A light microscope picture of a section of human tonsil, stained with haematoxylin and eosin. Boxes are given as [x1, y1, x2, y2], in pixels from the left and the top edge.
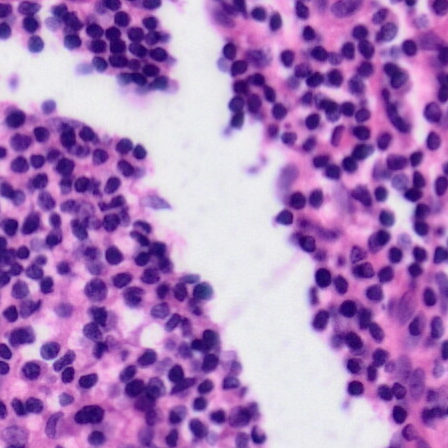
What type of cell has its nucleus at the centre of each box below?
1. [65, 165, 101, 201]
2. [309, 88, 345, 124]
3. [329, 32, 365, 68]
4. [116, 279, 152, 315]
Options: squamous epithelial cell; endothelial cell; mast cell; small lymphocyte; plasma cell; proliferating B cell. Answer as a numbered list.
1. small lymphocyte
2. small lymphocyte
3. small lymphocyte
4. proliferating B cell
